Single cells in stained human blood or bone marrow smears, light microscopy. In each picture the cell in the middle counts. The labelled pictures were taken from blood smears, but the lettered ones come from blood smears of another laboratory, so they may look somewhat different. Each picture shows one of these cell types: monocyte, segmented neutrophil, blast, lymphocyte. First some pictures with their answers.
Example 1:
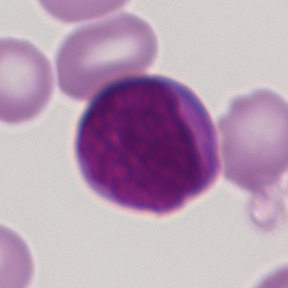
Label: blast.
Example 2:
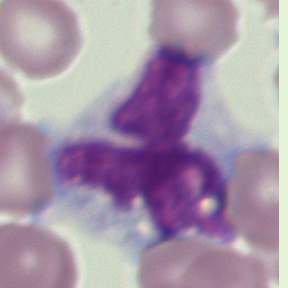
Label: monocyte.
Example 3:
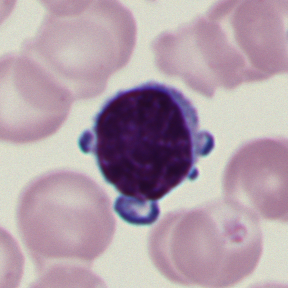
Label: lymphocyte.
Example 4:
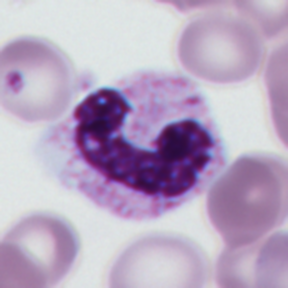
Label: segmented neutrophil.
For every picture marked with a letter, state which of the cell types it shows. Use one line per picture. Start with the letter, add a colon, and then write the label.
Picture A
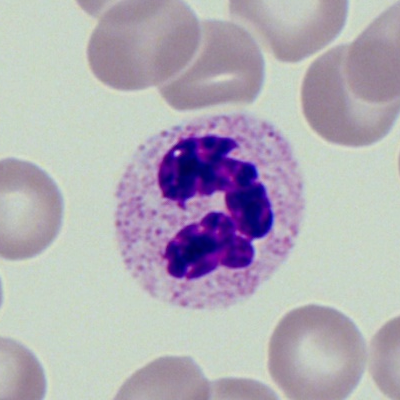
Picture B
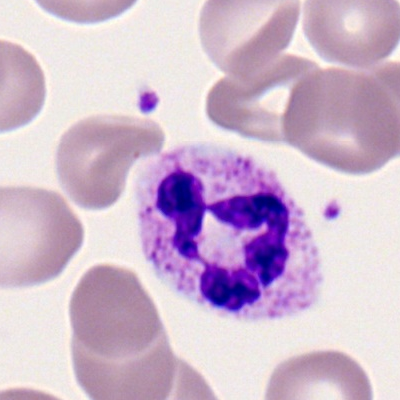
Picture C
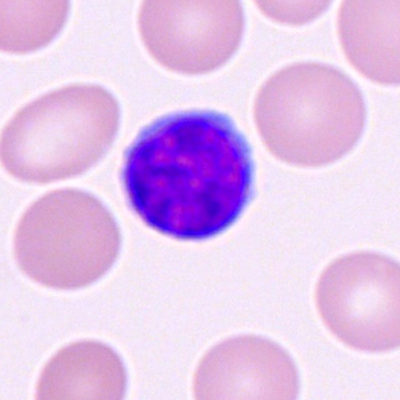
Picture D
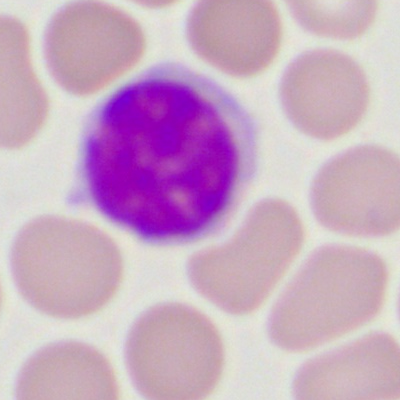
A: segmented neutrophil.
B: segmented neutrophil.
C: lymphocyte.
D: lymphocyte.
